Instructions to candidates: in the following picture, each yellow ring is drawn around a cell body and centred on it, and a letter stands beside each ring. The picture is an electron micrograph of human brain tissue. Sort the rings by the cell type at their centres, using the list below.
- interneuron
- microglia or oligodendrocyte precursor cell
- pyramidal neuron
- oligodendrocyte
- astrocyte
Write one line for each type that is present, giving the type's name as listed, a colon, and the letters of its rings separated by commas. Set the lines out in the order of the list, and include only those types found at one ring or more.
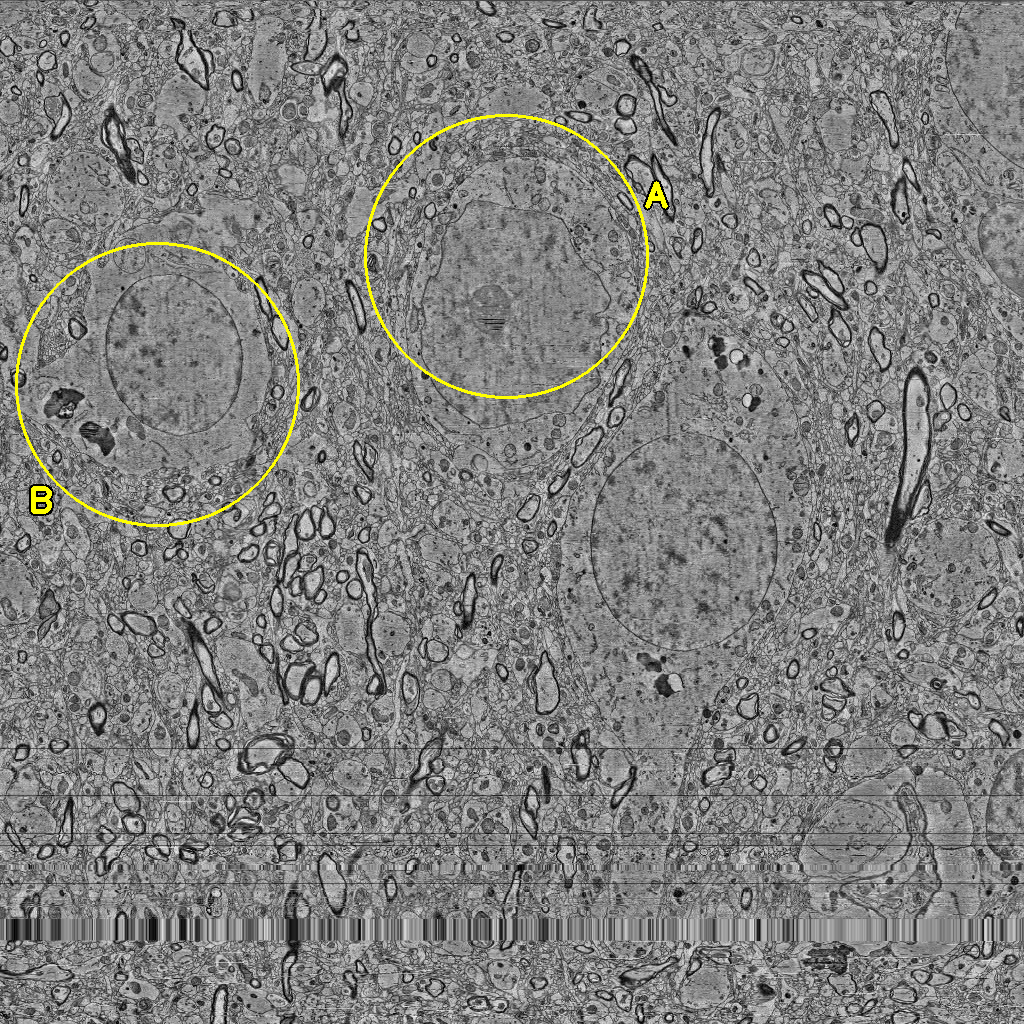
pyramidal neuron: A
astrocyte: B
